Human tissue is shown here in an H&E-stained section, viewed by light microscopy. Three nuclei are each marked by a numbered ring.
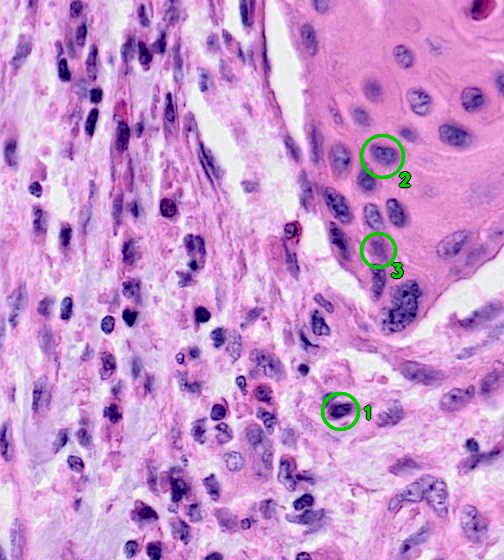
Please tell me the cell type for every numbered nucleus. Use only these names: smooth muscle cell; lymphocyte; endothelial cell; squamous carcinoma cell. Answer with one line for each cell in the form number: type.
1: lymphocyte
2: squamous carcinoma cell
3: squamous carcinoma cell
